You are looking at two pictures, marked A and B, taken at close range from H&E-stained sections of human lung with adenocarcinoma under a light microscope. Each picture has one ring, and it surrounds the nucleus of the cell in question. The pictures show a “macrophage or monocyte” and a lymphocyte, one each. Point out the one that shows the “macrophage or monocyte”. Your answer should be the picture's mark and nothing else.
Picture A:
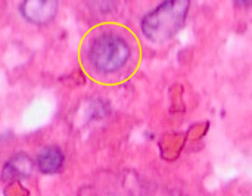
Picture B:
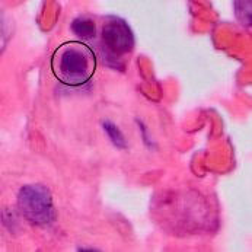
A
